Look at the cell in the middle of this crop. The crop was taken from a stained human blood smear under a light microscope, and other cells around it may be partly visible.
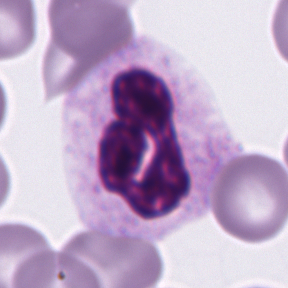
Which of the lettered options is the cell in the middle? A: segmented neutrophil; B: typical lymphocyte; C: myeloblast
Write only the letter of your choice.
A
